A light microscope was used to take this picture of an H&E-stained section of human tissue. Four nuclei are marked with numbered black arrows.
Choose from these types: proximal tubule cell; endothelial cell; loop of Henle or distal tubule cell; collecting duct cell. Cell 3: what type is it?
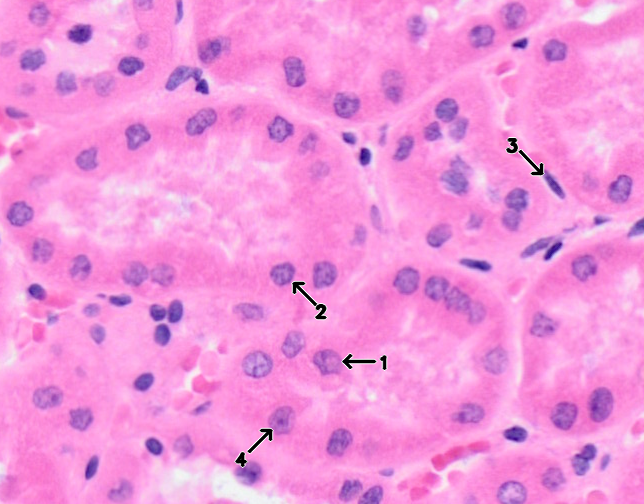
endothelial cell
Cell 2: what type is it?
proximal tubule cell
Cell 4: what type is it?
proximal tubule cell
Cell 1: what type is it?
proximal tubule cell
